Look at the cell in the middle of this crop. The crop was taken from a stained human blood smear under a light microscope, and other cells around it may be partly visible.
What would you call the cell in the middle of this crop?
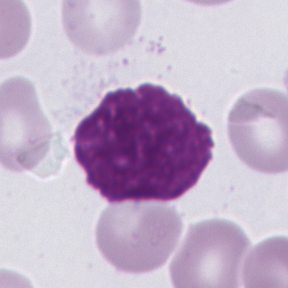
smudge cell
